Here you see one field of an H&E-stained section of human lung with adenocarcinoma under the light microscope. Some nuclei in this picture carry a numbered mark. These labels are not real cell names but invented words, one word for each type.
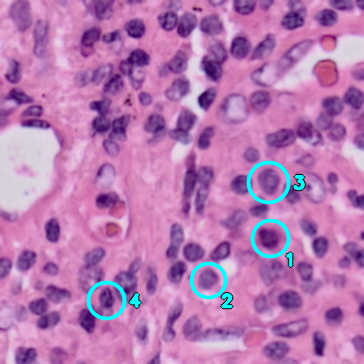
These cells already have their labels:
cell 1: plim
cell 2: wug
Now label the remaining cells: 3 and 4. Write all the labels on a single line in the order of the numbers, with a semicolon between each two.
wug; wug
